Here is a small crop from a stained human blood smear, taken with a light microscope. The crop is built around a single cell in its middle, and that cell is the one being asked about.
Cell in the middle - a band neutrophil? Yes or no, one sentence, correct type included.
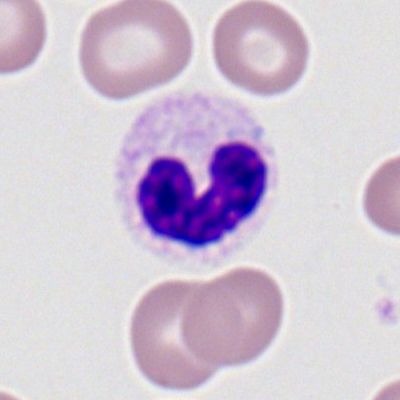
Yes, the centred cell is categorised as a band neutrophil.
